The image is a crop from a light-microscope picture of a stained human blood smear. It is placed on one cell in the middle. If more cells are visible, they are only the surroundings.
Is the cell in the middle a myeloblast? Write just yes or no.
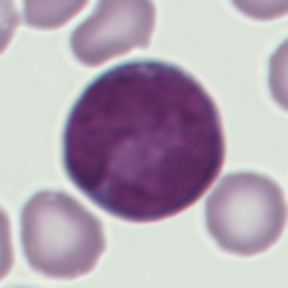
yes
